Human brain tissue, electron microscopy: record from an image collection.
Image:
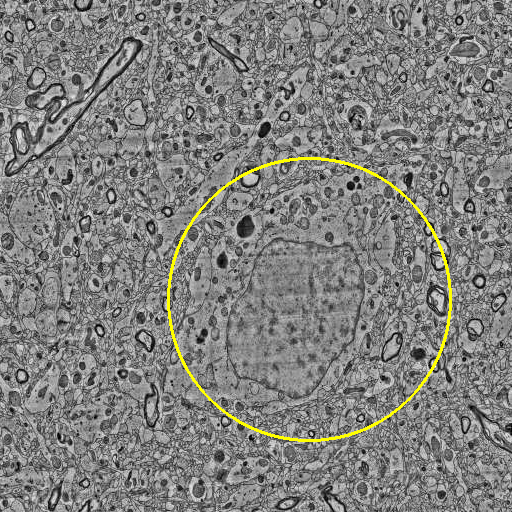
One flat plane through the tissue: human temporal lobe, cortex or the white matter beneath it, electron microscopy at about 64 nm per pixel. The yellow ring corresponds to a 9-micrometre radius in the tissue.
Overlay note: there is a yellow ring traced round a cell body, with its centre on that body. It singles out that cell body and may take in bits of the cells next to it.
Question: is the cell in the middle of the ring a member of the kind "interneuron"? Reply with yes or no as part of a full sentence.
Yes, the image's ringed cell, the one at the ring's centre, is a member of that kind.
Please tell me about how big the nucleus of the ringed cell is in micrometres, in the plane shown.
The nucleus appears roughly 11 by 8 micrometres in this plane.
